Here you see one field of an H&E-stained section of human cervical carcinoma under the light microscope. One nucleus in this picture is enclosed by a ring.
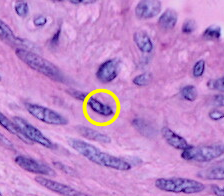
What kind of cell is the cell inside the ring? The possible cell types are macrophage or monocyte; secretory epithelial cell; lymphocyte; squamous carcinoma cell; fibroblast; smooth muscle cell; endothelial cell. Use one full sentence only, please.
It is as a smooth muscle cell that the cell inside the ring is classified.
